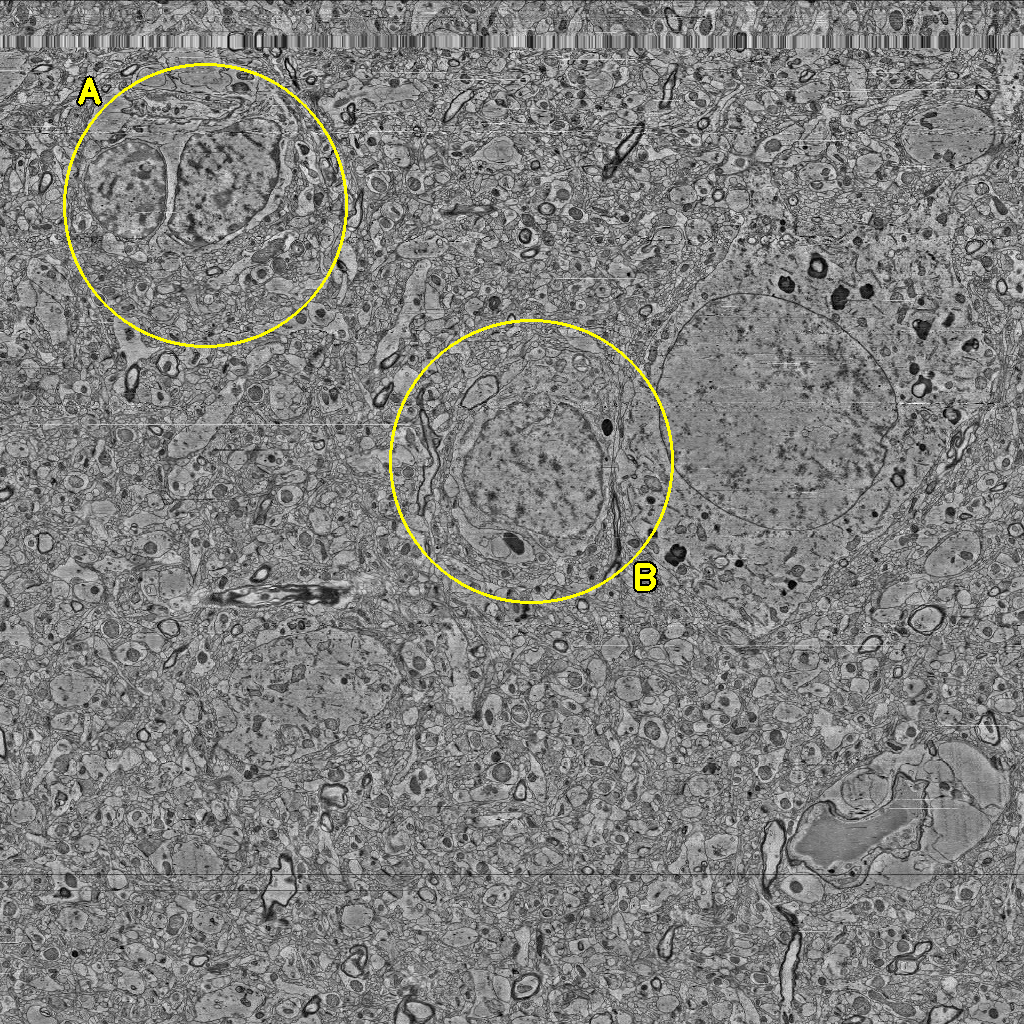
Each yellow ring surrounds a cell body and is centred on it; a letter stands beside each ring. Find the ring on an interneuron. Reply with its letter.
B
